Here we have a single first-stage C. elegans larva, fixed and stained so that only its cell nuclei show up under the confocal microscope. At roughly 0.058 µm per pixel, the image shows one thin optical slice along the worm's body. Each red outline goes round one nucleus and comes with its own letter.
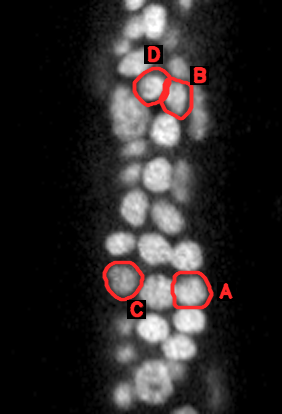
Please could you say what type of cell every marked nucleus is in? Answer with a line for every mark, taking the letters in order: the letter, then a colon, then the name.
A: neuron
B: glial cell (sheath or socket)
C: neuron
D: neuron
